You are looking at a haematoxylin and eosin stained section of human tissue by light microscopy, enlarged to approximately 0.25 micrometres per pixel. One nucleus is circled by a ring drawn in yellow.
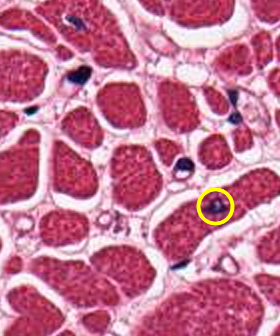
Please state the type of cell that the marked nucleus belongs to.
cardiomyocyte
